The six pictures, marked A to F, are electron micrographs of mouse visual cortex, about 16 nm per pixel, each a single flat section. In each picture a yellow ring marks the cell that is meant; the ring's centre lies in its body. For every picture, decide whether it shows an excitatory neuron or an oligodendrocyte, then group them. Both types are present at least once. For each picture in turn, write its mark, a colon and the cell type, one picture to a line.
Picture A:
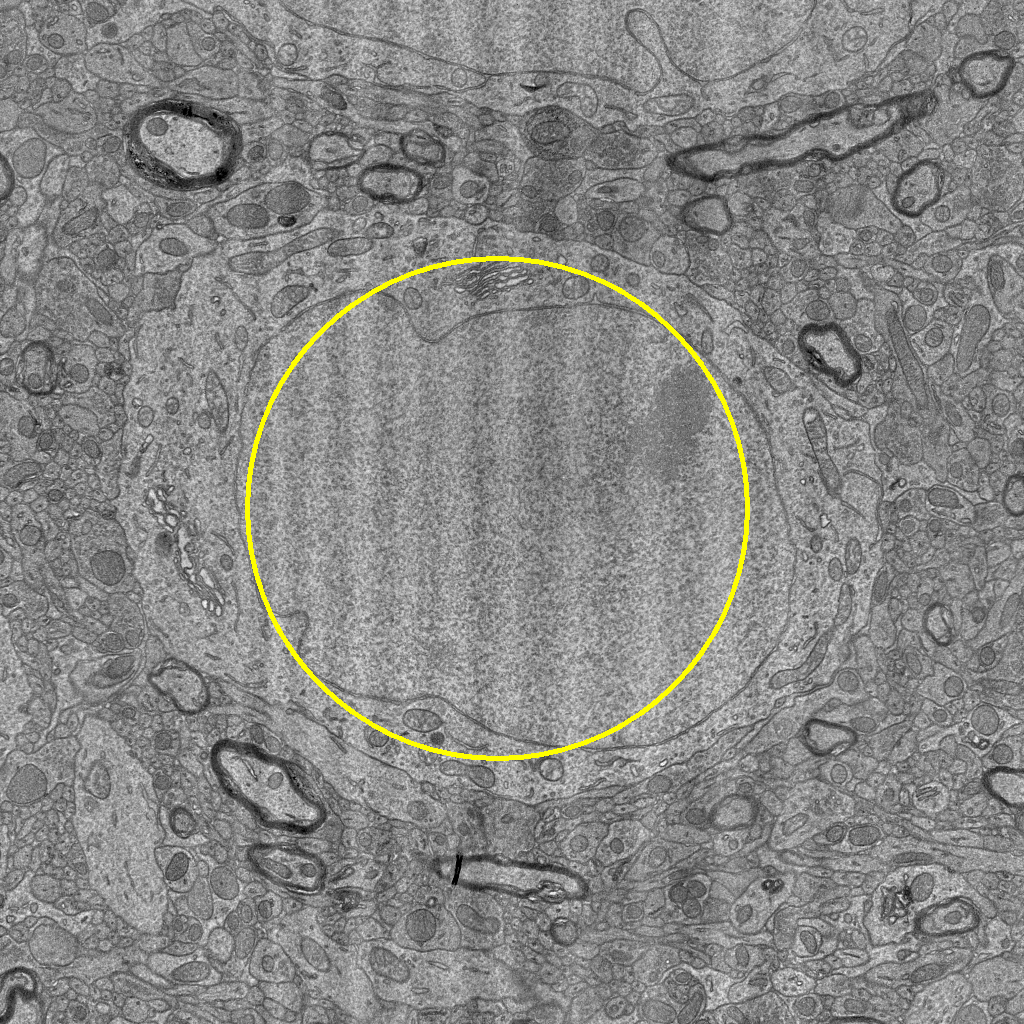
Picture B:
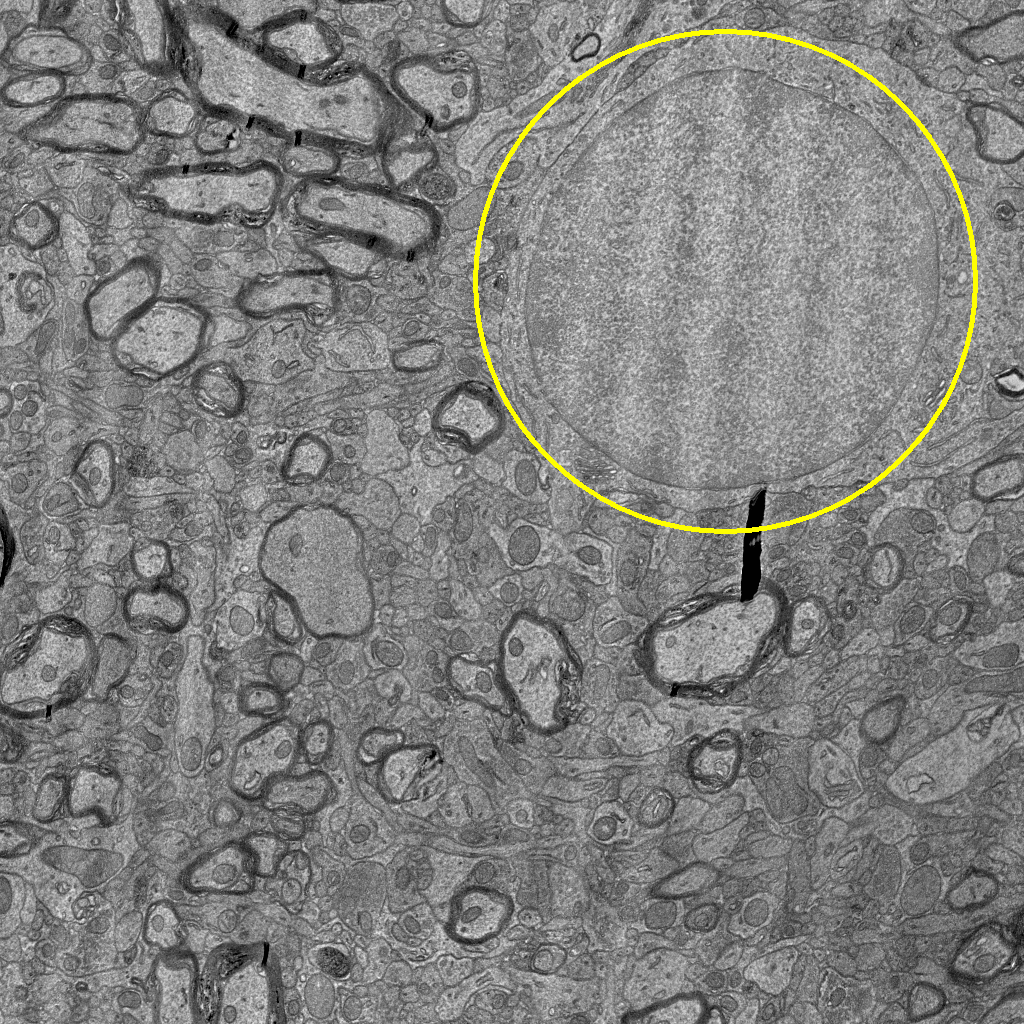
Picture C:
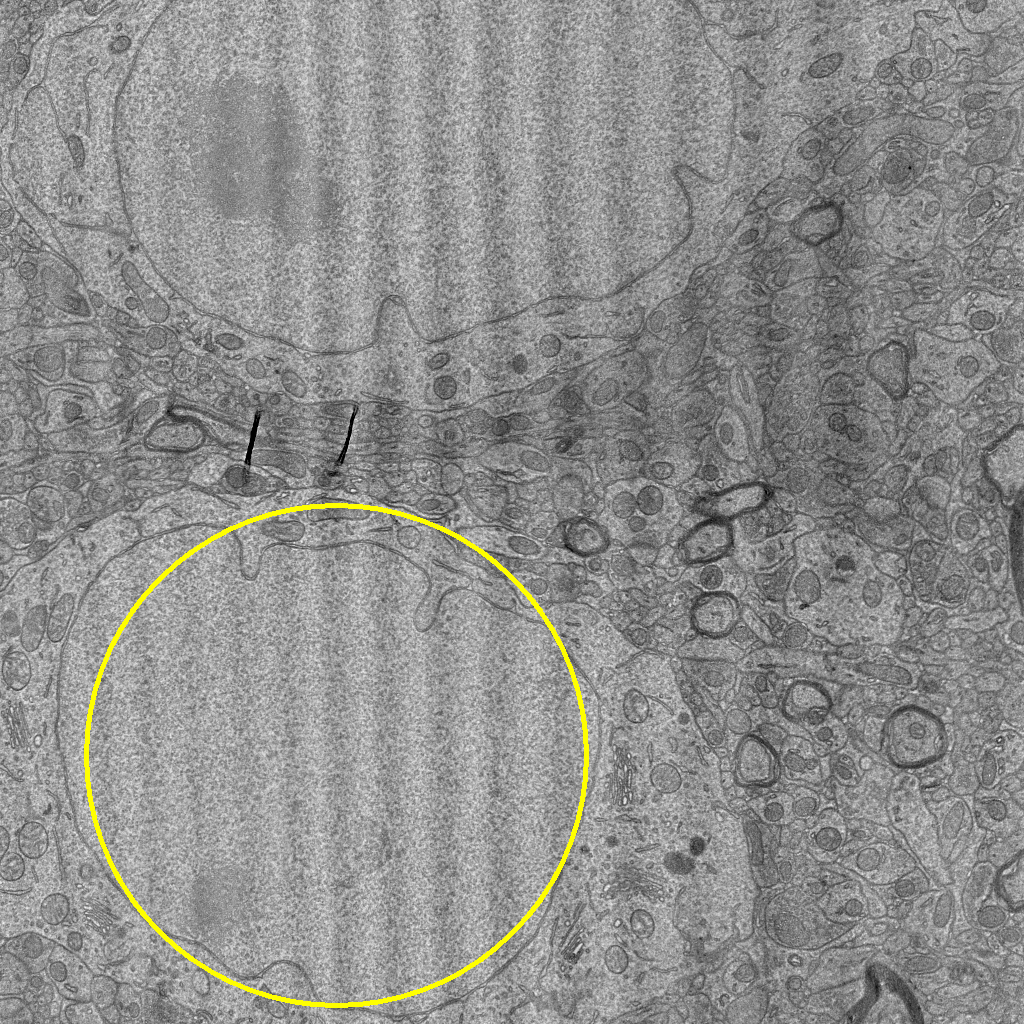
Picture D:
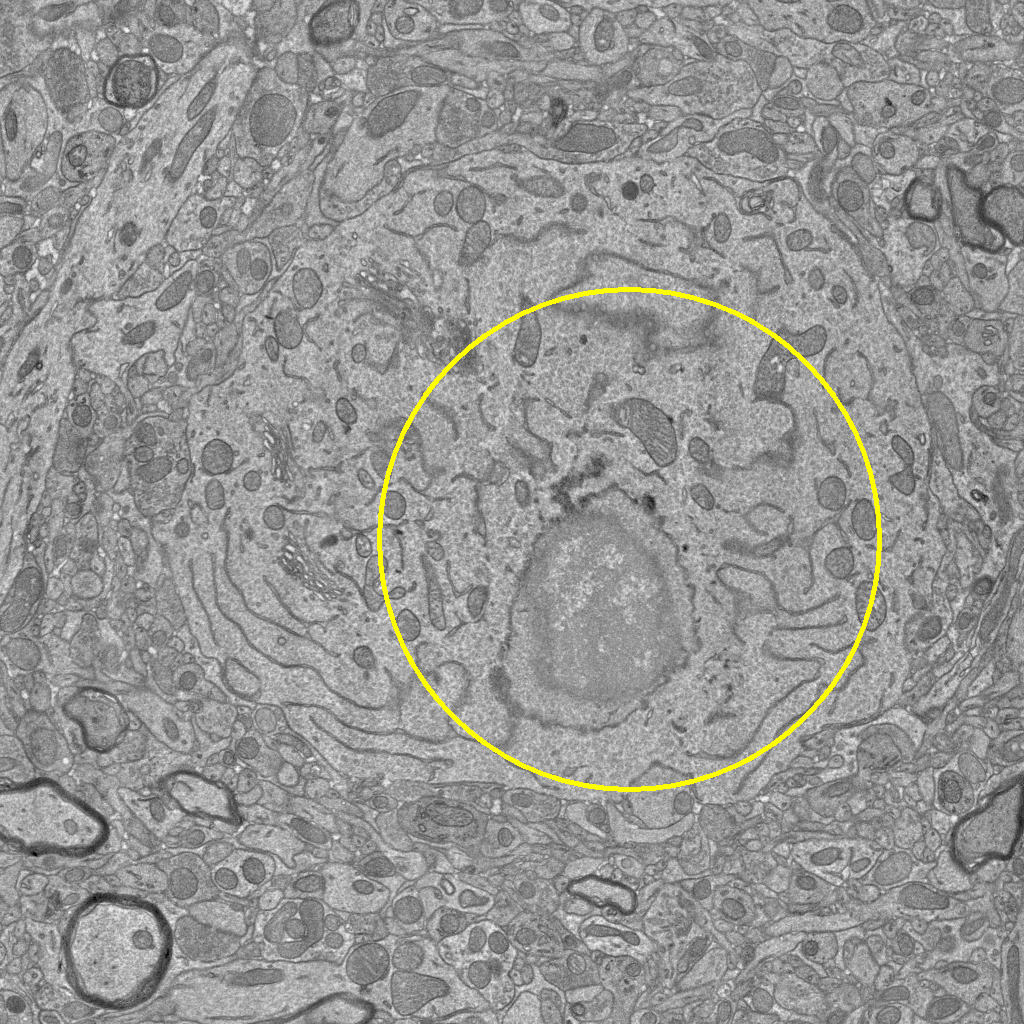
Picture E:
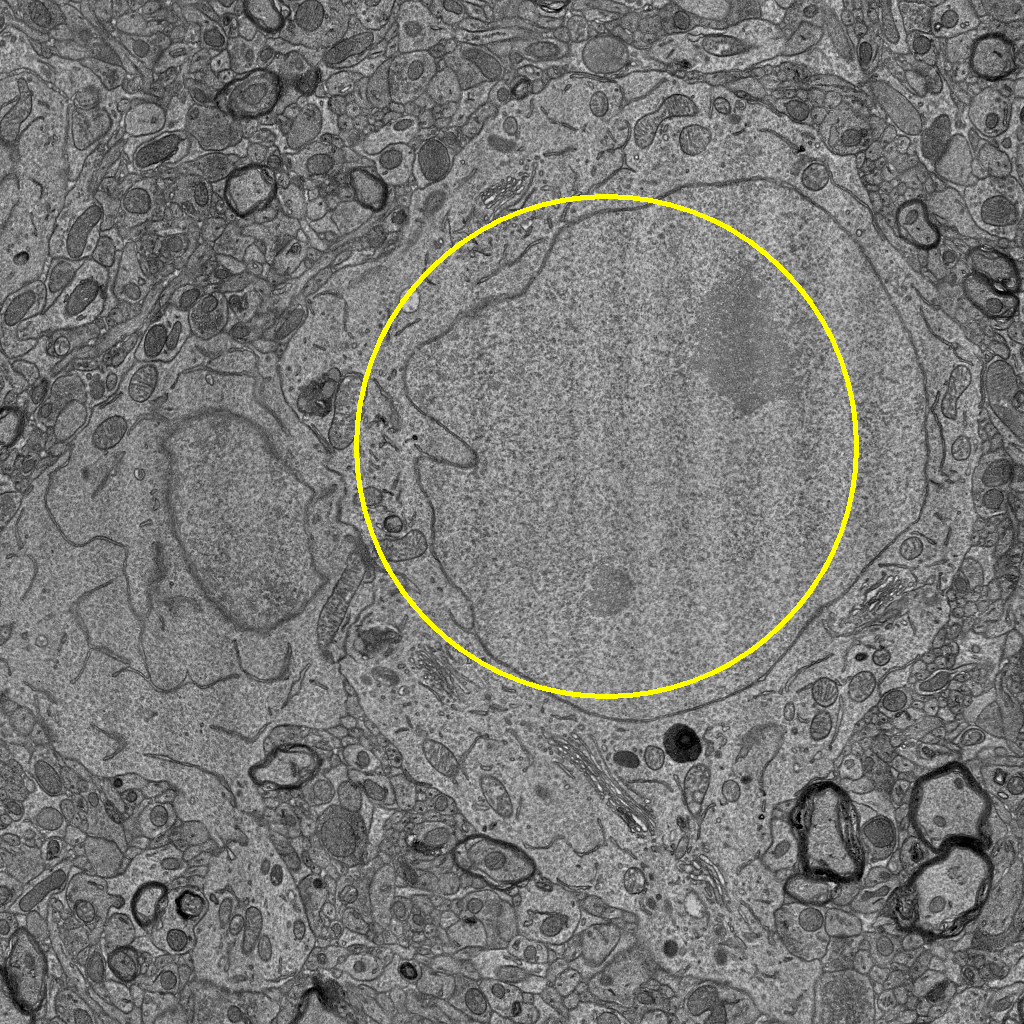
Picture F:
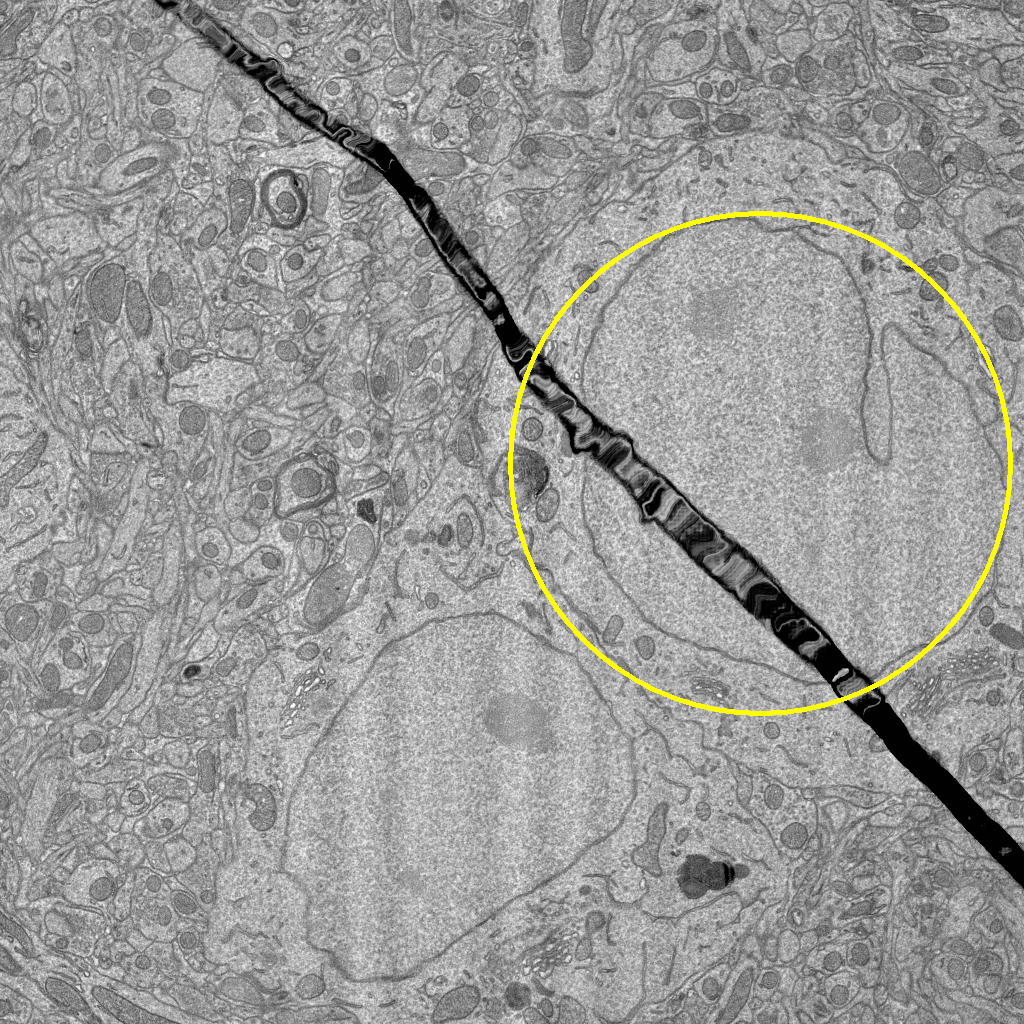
A: excitatory neuron
B: oligodendrocyte
C: excitatory neuron
D: oligodendrocyte
E: excitatory neuron
F: excitatory neuron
